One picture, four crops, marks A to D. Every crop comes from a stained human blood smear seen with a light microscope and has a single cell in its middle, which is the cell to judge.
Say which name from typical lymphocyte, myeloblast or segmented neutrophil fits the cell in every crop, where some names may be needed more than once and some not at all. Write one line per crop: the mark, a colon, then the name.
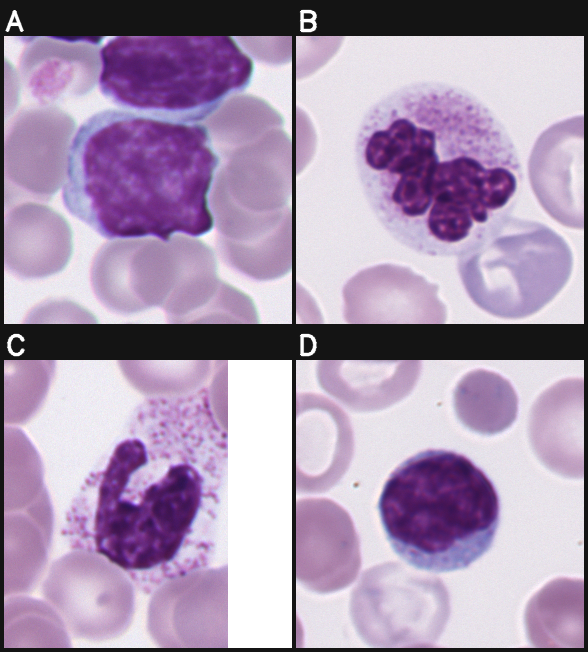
A: typical lymphocyte
B: segmented neutrophil
C: segmented neutrophil
D: typical lymphocyte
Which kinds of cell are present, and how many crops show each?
typical lymphocyte: 2
segmented neutrophil: 2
